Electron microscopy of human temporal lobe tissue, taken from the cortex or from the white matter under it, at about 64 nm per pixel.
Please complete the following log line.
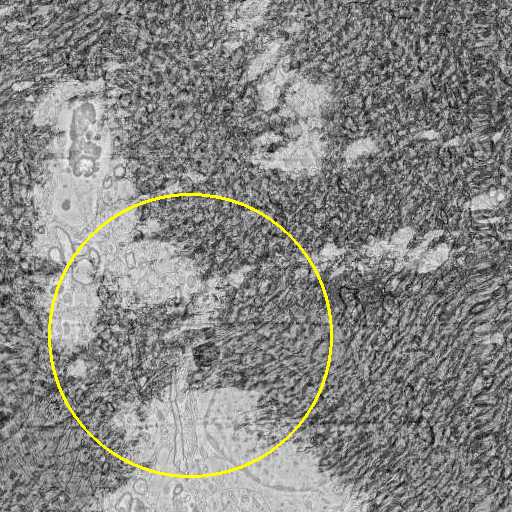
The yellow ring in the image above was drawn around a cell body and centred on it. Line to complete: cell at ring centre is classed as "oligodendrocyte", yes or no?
yes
